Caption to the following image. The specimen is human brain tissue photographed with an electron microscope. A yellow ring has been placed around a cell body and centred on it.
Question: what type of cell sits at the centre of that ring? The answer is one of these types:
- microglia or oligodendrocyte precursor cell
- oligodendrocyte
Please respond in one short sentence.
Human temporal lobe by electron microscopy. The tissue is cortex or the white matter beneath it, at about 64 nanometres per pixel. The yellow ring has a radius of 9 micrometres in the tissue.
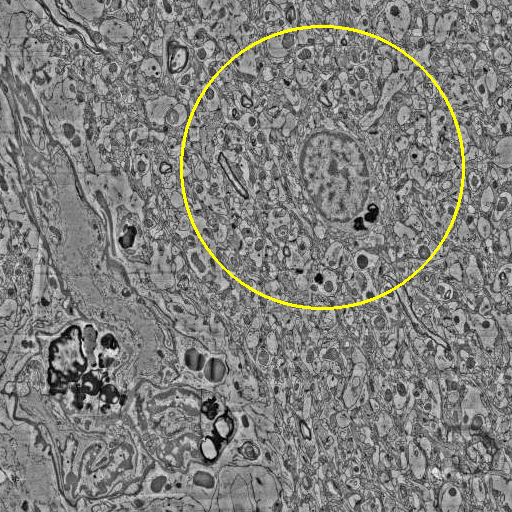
The ring surrounds the cell body of an oligodendrocyte.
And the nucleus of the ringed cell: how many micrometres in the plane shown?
The nucleus measures about 6 by 4 micrometres in this plane.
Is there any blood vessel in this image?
Yes.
